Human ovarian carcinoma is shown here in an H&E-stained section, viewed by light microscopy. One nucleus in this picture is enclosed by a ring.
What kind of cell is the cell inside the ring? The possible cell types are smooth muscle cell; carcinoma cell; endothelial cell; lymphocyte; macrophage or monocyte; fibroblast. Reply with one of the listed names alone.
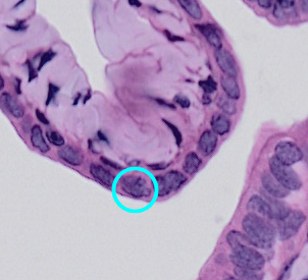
carcinoma cell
